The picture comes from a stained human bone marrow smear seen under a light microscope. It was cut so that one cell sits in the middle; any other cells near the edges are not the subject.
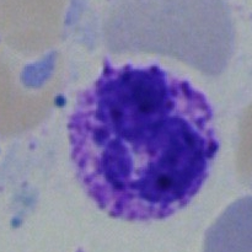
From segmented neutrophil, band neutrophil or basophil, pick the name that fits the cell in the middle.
basophil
